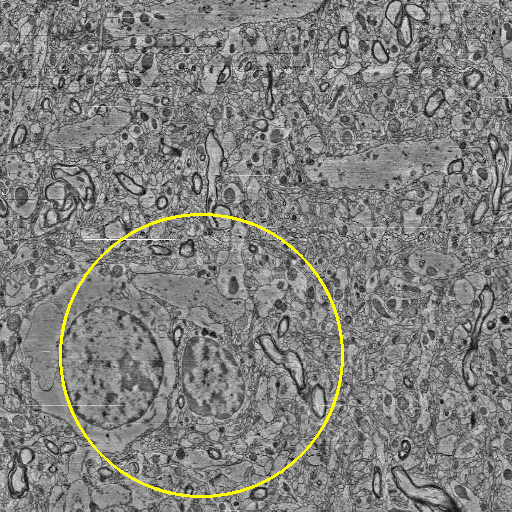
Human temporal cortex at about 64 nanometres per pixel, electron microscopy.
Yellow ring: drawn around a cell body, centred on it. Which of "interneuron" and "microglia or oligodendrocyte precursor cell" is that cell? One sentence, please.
That cell body is from a microglial cell or oligodendrocyte precursor cell.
